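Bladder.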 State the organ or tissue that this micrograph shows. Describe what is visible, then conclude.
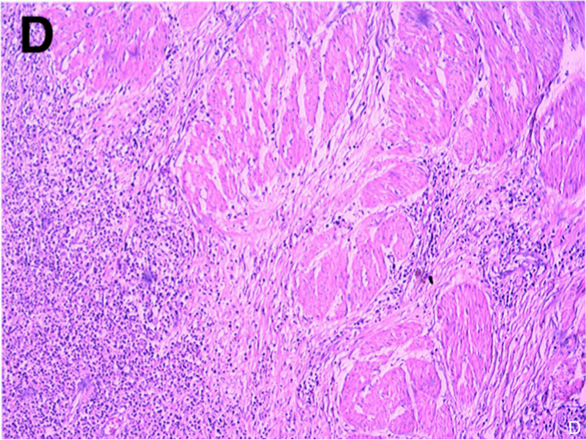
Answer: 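Pink bundles of smooth muscle fill the right part of the field. A dense sheet of small dark cells occupies the left part. On this evidence: Detrusor muscles.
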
